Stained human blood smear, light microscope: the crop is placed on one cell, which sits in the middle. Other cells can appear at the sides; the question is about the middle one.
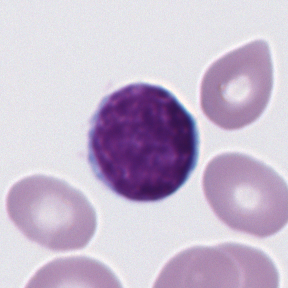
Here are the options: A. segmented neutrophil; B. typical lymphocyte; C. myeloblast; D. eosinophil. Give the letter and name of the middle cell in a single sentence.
It is a typical lymphocyte that occupies the centre of the crop, so option B is correct.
